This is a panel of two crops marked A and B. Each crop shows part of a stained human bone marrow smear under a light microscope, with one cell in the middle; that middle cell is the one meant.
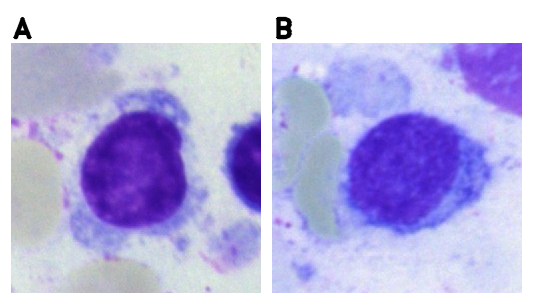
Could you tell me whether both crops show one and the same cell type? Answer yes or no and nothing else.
yes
